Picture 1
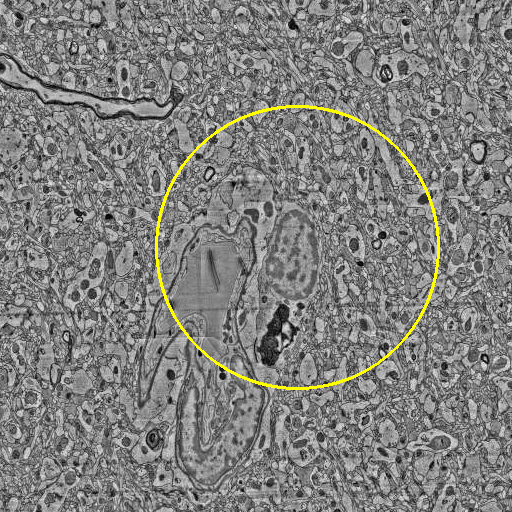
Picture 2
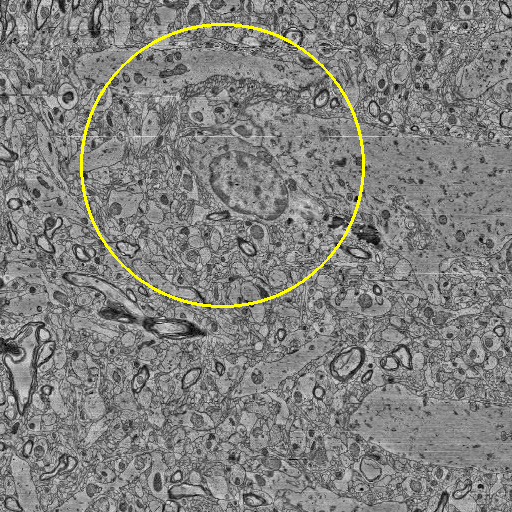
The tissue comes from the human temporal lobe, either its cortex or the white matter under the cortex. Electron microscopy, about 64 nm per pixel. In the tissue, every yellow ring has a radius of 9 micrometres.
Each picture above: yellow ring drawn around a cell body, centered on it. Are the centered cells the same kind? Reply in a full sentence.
Yes, the two cells are the same kind.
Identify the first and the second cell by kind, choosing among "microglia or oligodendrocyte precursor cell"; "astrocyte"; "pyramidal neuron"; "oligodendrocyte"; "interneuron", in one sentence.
Each one of the two ringed cells is an oligodendrocyte.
